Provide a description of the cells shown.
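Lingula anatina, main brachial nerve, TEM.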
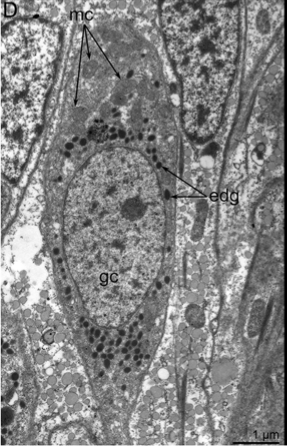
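A cell with a large oval nucleus and a prominent nucleolus sits among neighbouring processes, its thin rim of cytoplasm packed with round, very dark granules, especially clustered above and below the nucleus. Further mitochondria lie in the cytoplasm above it. This is a glial cell with numerous mitochondria and electron-dense granules.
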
